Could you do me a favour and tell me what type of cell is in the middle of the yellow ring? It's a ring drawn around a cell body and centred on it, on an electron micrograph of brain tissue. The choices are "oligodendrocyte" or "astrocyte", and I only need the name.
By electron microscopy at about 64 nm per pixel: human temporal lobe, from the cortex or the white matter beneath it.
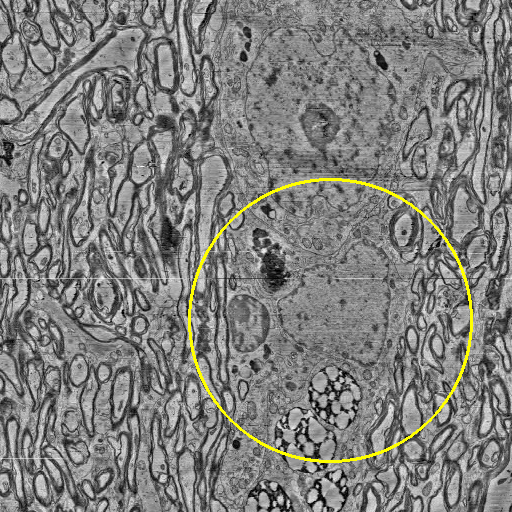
astrocyte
